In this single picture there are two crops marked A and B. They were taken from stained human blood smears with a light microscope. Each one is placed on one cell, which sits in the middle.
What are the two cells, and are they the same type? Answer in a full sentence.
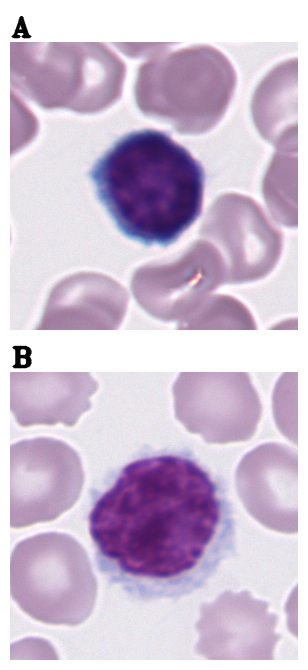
No, as for crop A, it shows a typical lymphocyte, and crop B shows a hairy cell.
